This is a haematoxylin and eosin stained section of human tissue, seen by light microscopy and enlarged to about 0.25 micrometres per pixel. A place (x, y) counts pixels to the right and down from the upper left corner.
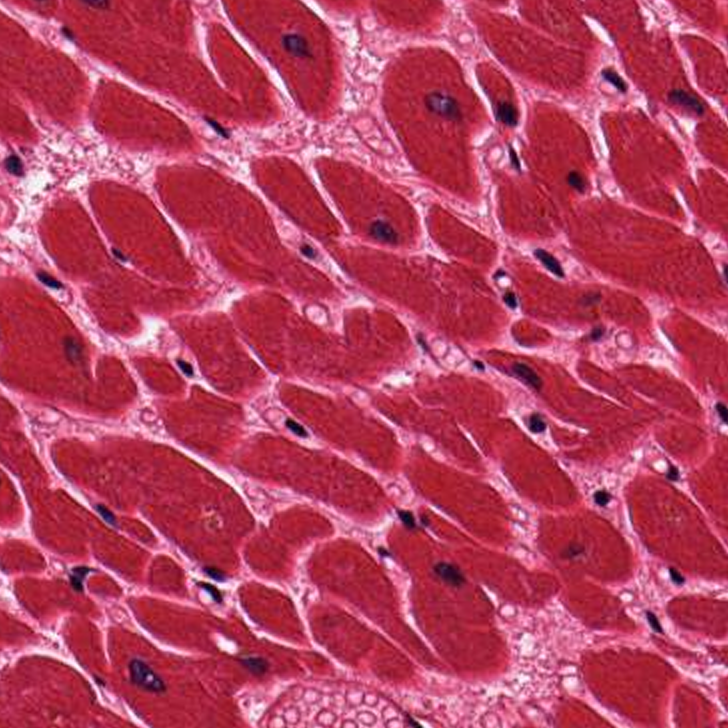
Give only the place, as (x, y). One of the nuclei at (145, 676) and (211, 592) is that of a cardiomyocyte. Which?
(145, 676)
